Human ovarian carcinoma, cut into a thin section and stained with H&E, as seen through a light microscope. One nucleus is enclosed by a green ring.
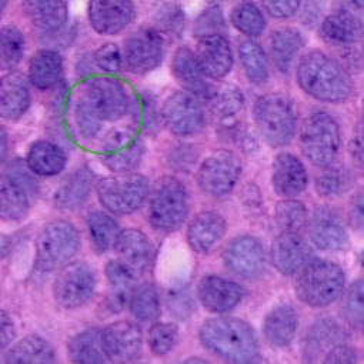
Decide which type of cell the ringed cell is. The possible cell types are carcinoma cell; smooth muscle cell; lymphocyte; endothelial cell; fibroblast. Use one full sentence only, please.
Cell type answer for this item: the ringed cell is a carcinoma cell.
